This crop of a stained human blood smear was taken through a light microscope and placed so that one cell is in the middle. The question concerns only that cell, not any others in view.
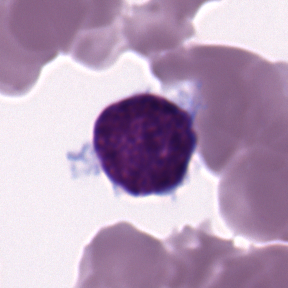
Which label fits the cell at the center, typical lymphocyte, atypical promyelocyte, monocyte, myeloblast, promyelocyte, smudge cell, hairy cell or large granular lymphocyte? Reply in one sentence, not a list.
The cell around which this crop is centred is a hairy cell.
